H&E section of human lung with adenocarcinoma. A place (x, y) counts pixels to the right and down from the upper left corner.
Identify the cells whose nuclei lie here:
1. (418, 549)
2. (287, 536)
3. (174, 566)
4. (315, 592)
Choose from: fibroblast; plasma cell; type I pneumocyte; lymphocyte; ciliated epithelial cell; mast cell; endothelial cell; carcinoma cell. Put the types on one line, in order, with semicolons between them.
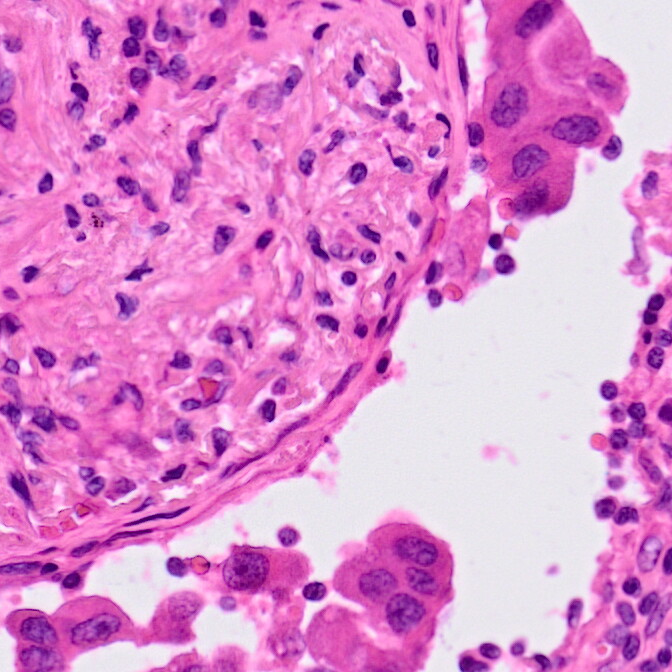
carcinoma cell; lymphocyte; lymphocyte; lymphocyte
